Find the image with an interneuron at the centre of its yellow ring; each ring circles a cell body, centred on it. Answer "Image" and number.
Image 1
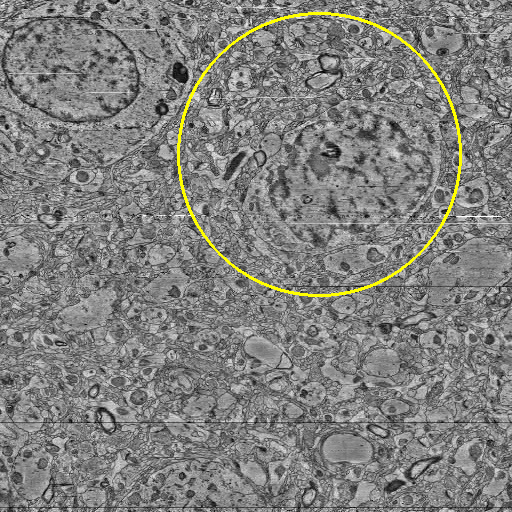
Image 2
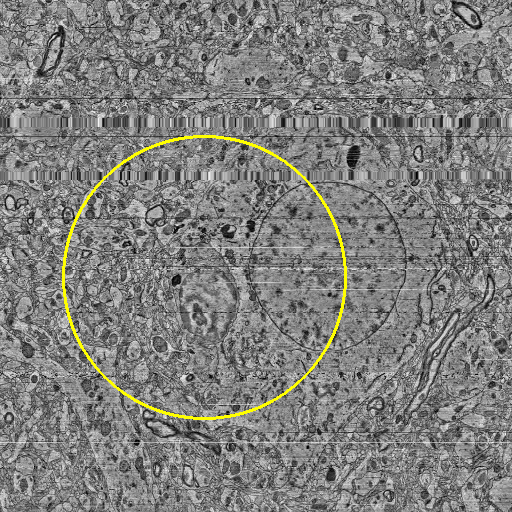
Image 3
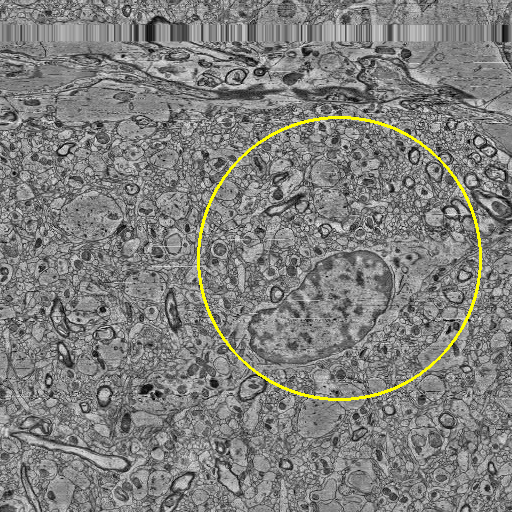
Image 1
